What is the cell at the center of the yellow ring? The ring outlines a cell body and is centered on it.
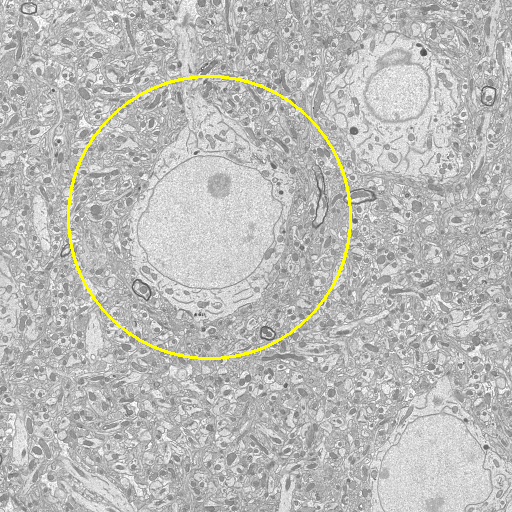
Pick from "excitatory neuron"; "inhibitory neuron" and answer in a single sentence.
The yellow ring is centered on an excitatory neuron.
